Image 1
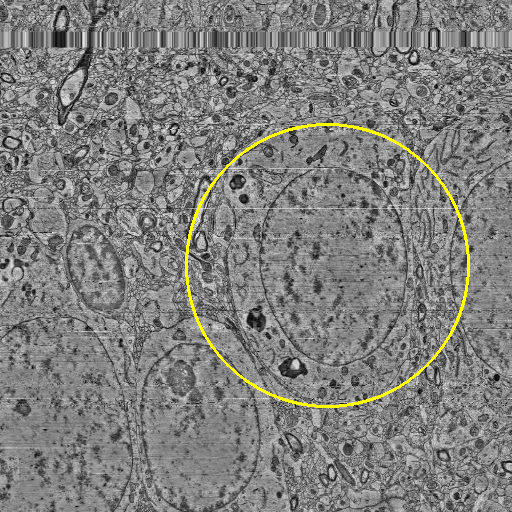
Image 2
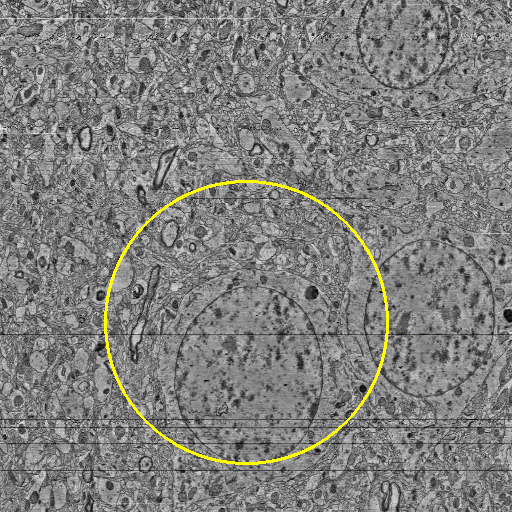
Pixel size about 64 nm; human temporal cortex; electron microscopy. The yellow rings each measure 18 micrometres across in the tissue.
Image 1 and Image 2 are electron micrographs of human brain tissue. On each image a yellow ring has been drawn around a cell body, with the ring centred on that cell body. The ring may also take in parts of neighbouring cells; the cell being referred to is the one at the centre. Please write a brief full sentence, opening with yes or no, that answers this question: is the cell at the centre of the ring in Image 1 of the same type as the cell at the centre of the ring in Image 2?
Yes, both cells are of the same type.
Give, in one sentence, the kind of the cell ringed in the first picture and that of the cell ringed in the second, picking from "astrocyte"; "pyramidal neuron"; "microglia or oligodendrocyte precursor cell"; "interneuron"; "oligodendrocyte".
Each of the ringed cells, first and second, is a pyramidal neuron.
